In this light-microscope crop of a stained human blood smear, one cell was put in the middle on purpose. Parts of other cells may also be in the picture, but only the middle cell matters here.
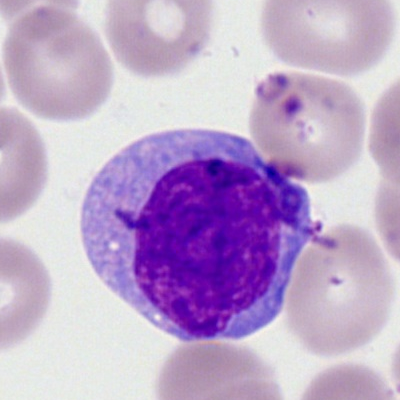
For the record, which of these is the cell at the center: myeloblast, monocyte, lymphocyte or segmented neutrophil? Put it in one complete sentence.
In the middle of this smear crop, the cell is a myeloblast.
